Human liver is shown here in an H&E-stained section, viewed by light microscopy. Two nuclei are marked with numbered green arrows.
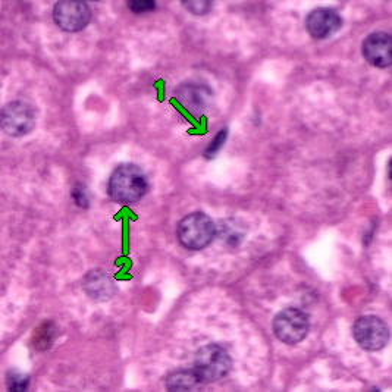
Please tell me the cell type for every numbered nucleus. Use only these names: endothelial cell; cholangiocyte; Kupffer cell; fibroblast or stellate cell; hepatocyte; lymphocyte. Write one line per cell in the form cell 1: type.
cell 1: endothelial cell
cell 2: hepatocyte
